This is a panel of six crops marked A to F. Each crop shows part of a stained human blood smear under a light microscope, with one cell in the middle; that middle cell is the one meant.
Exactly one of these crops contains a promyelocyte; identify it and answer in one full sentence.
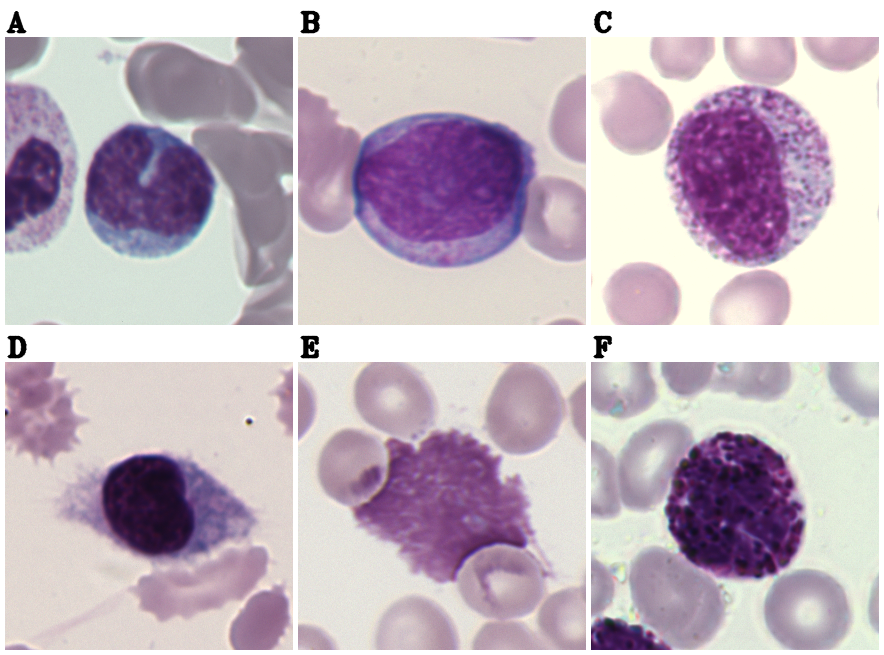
The sole crop showing a promyelocyte is crop B.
